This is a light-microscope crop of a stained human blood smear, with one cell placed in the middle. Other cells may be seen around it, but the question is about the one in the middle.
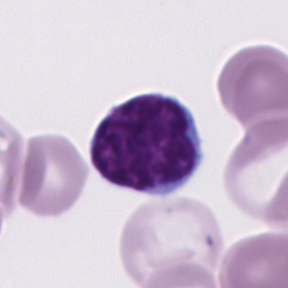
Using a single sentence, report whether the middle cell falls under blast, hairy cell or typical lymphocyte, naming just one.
In the centre of this crop there is a typical lymphocyte.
